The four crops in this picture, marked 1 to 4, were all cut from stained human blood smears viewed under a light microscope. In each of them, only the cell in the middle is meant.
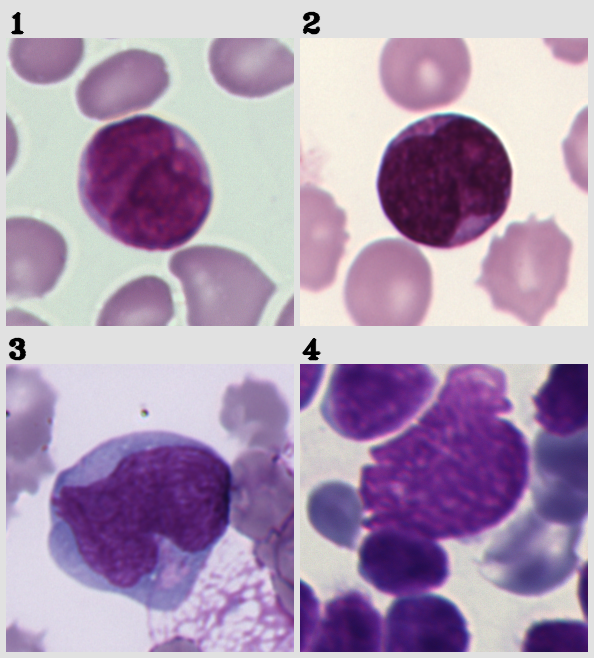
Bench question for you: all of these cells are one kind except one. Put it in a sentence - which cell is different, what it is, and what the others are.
Crop 4 does not fit, being a smudge cell where all the others show myeloblasts.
